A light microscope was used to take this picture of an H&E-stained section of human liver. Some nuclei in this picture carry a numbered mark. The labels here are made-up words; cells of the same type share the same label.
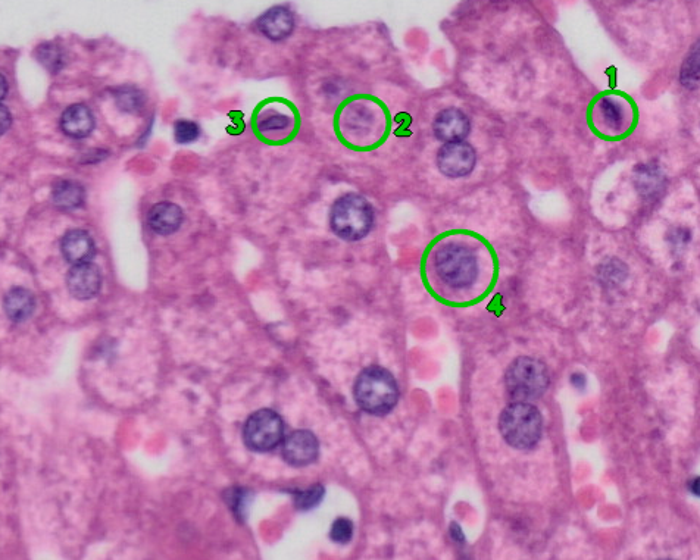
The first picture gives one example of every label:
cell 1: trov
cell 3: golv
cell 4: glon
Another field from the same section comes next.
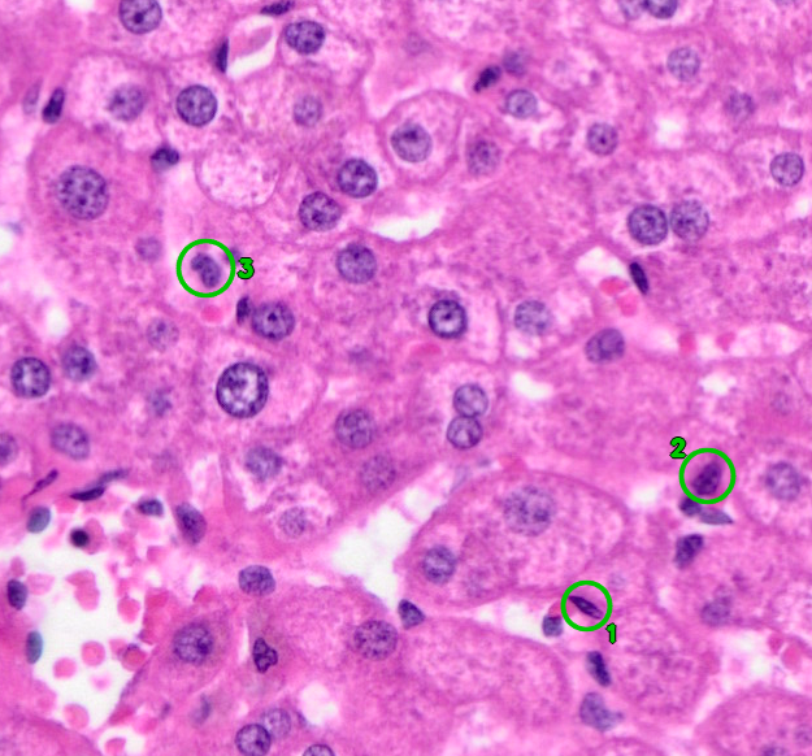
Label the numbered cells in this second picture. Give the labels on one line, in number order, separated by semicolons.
trov; golv; golv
